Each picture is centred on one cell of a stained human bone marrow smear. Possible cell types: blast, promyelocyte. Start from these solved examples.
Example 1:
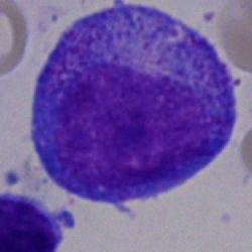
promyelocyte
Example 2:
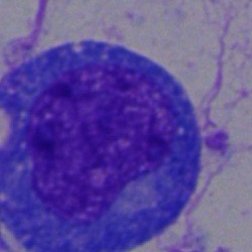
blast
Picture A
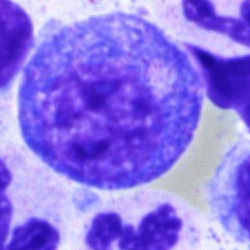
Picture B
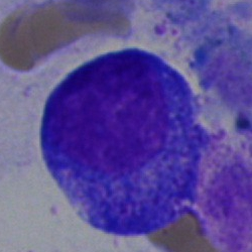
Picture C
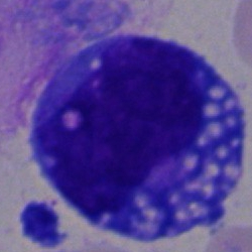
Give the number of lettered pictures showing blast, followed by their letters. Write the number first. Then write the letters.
1: C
